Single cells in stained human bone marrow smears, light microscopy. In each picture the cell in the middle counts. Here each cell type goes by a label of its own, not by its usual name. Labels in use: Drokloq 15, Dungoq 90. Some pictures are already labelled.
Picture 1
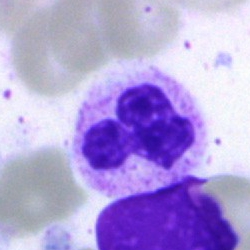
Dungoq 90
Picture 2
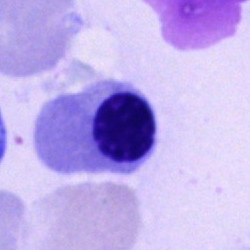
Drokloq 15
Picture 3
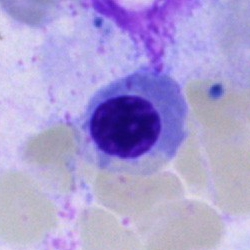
Drokloq 15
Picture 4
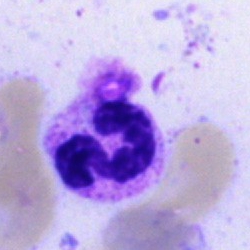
Dungoq 90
